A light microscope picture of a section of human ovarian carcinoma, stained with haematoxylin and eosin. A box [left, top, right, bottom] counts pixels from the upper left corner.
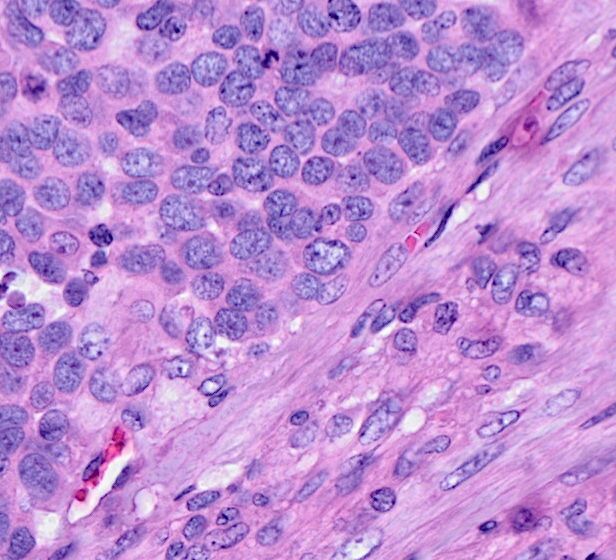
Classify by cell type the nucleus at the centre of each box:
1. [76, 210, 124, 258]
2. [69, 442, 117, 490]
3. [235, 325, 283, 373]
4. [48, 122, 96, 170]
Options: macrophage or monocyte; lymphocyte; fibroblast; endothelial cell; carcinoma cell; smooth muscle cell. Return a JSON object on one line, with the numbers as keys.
{"1": "lymphocyte", "2": "endothelial cell", "3": "macrophage or monocyte", "4": "carcinoma cell"}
